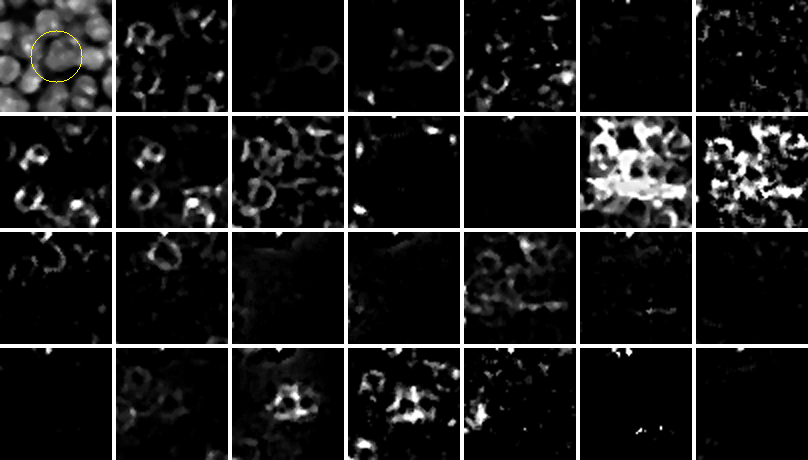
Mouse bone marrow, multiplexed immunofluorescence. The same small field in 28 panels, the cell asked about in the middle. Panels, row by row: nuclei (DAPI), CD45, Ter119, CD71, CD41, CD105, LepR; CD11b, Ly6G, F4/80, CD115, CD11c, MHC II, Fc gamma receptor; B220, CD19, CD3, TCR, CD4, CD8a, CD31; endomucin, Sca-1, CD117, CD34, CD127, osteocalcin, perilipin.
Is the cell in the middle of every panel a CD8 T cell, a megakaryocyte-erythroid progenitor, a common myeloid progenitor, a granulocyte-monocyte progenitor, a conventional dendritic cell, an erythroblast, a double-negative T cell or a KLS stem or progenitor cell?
It is a granulocyte-monocyte progenitor.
